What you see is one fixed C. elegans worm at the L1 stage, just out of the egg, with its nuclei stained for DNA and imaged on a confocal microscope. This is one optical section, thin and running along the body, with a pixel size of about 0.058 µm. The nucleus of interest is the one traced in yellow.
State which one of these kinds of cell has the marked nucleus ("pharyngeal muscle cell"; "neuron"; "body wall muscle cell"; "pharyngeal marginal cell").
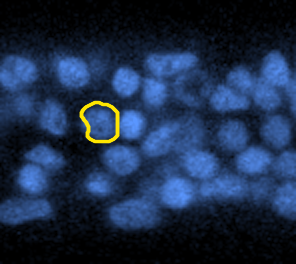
pharyngeal muscle cell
